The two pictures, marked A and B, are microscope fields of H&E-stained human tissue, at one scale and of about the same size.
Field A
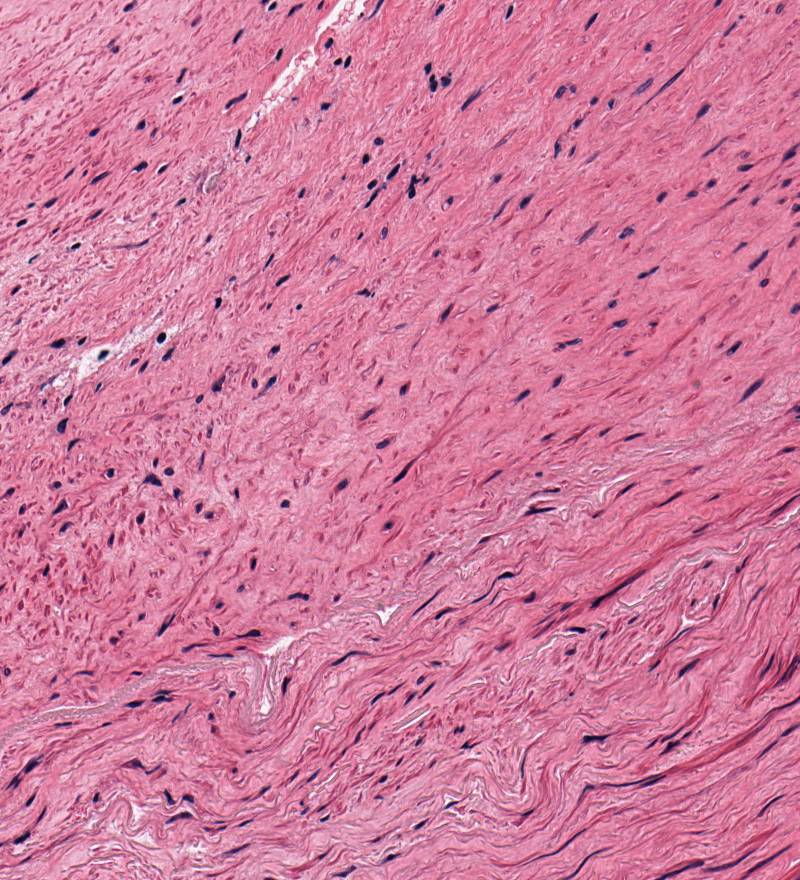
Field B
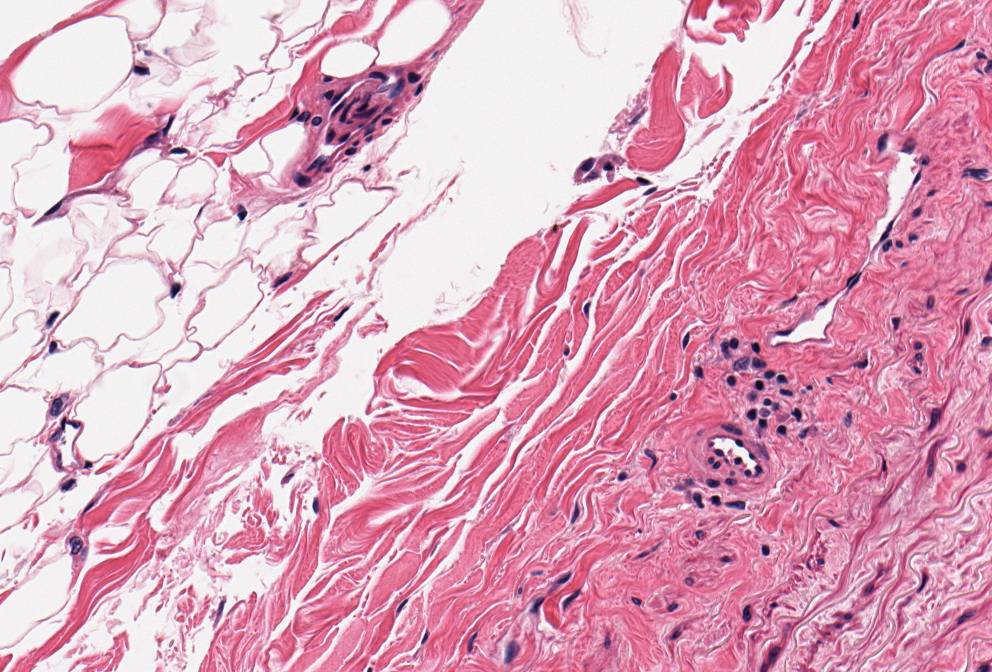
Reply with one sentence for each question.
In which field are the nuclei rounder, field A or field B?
The nuclei are rounder in field B.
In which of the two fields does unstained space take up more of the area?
More of field B is empty and white.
